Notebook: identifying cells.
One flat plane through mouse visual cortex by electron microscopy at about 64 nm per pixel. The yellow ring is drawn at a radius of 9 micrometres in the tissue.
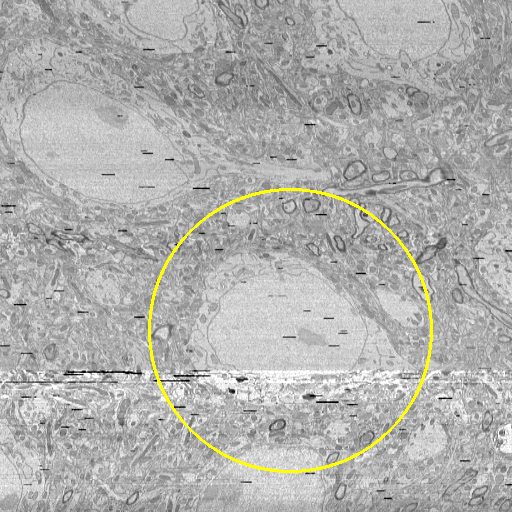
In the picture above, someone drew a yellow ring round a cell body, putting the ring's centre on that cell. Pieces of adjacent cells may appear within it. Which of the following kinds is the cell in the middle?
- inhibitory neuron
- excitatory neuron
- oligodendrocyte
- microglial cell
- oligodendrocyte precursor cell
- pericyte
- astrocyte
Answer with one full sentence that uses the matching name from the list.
In this picture, the yellow ring is centred on the body of an excitatory neuron.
